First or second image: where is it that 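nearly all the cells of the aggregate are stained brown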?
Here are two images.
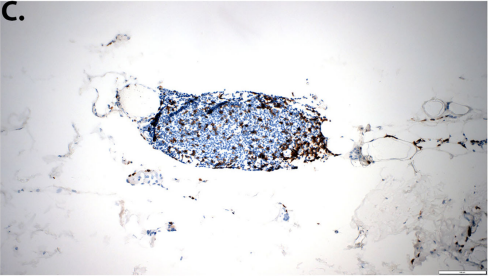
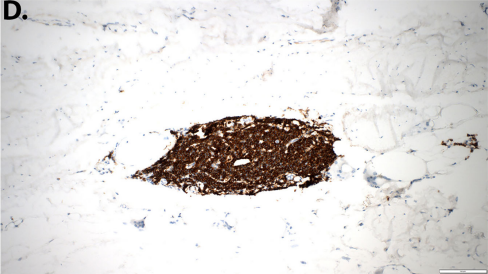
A: The second image.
